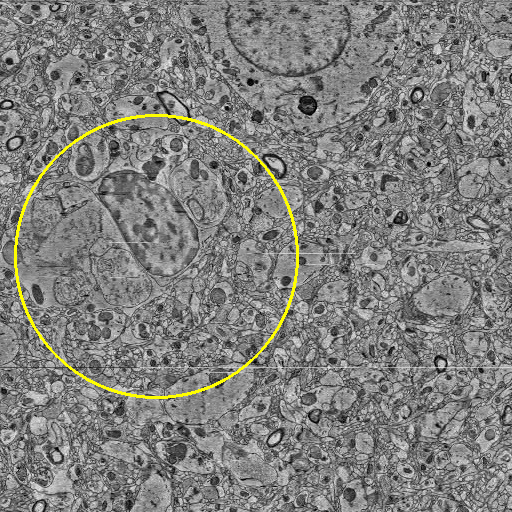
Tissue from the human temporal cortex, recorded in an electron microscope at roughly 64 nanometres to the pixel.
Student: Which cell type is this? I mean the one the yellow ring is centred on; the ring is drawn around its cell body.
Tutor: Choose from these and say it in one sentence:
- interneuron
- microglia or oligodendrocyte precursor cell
The cell the ring is centred on is a microglial cell or oligodendrocyte precursor cell.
